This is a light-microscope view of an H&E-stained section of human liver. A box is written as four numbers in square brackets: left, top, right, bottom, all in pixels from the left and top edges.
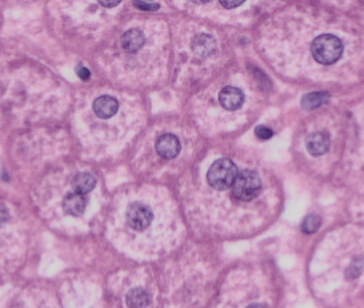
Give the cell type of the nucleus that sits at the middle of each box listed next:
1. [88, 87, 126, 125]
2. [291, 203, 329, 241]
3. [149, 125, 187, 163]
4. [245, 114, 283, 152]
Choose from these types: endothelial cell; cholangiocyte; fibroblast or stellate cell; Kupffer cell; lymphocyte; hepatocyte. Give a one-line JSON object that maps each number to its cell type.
{"1": "hepatocyte", "2": "Kupffer cell", "3": "hepatocyte", "4": "lymphocyte"}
